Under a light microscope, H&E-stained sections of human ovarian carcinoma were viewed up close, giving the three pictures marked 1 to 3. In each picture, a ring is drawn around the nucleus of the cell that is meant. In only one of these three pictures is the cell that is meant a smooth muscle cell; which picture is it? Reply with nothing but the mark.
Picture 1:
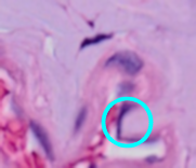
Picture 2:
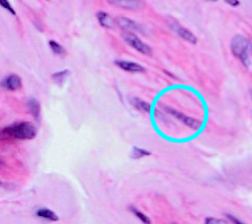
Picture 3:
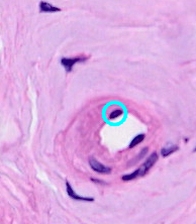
2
